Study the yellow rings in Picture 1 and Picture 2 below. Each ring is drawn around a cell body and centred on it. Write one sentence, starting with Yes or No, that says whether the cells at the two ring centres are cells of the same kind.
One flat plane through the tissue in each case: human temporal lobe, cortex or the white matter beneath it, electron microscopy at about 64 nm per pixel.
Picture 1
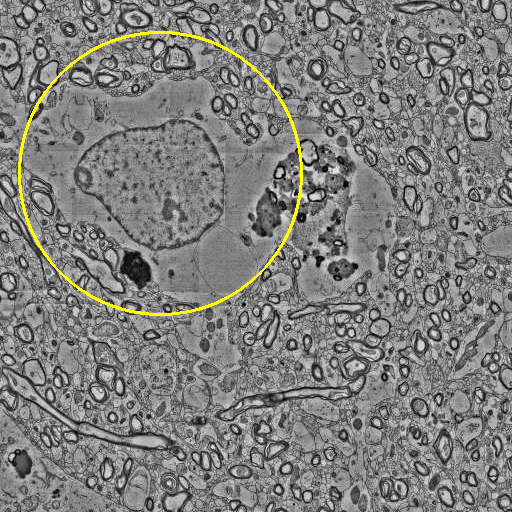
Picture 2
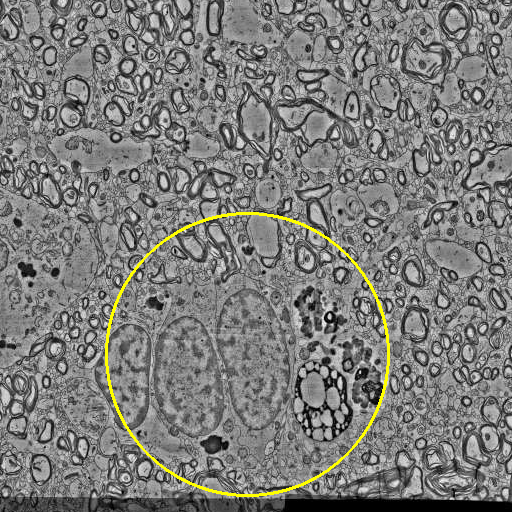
No, the cells at the ring centres are of two kinds.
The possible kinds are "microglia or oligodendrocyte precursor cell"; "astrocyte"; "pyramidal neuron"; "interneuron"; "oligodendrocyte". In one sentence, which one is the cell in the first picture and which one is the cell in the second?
The cell ringed in the second picture is an oligodendrocyte, whereas the one ringed in the first is an astrocyte.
